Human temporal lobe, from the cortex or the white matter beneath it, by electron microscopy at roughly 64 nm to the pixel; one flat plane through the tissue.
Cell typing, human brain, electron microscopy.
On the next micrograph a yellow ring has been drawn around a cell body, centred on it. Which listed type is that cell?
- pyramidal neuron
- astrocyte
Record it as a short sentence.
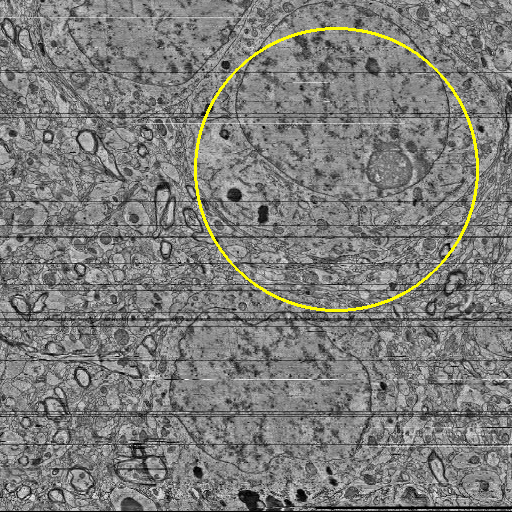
The cell body in the ring's centre belongs to a pyramidal neuron.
